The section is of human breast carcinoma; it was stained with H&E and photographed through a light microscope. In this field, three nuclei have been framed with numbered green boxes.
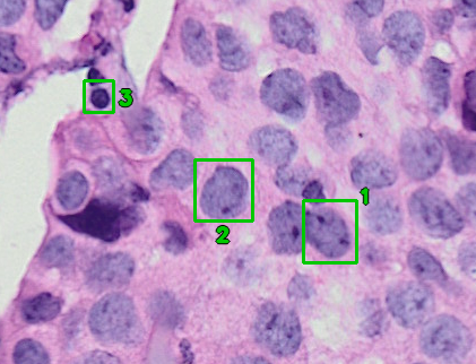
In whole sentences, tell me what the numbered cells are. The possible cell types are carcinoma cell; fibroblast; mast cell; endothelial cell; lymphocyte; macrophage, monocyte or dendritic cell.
Cells 1 and 2 are carcinoma cells. Cell 3 is a lymphocyte.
